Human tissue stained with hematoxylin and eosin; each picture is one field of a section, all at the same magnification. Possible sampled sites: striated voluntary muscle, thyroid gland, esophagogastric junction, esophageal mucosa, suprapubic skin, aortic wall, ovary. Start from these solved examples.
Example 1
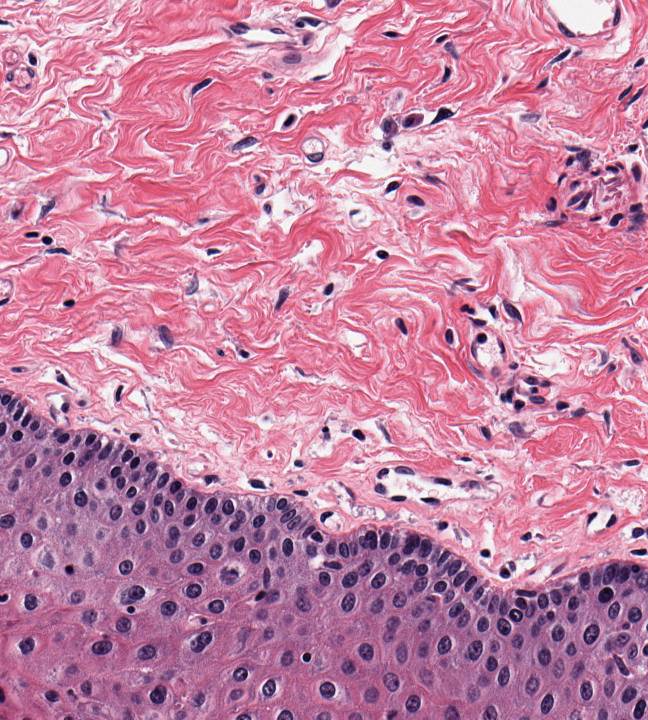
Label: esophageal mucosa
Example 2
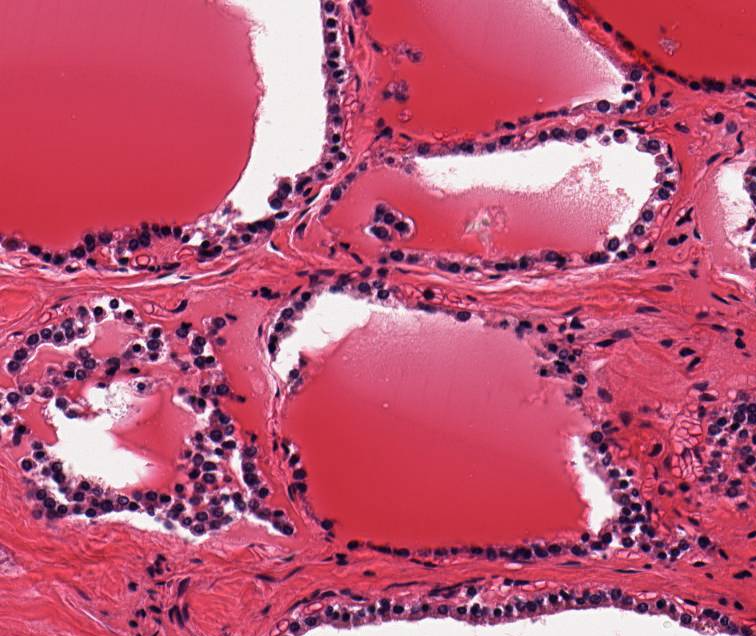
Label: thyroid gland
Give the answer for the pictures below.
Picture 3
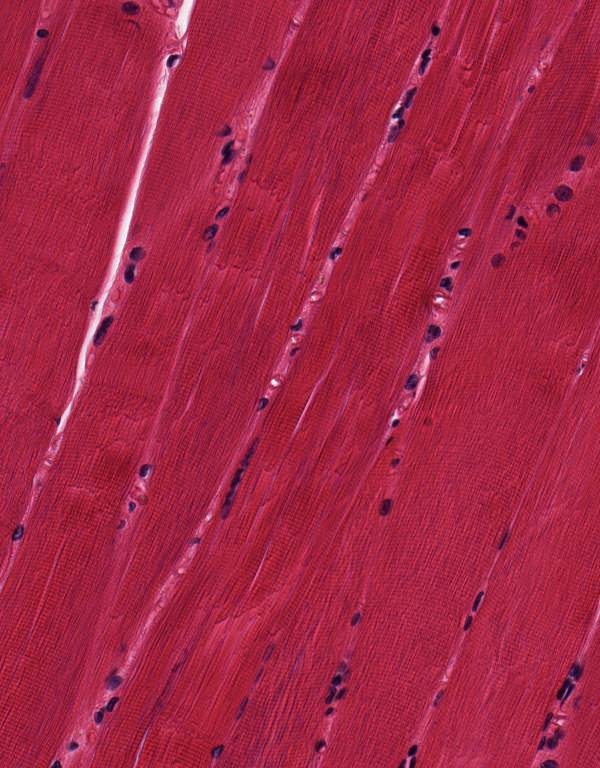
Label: striated voluntary muscle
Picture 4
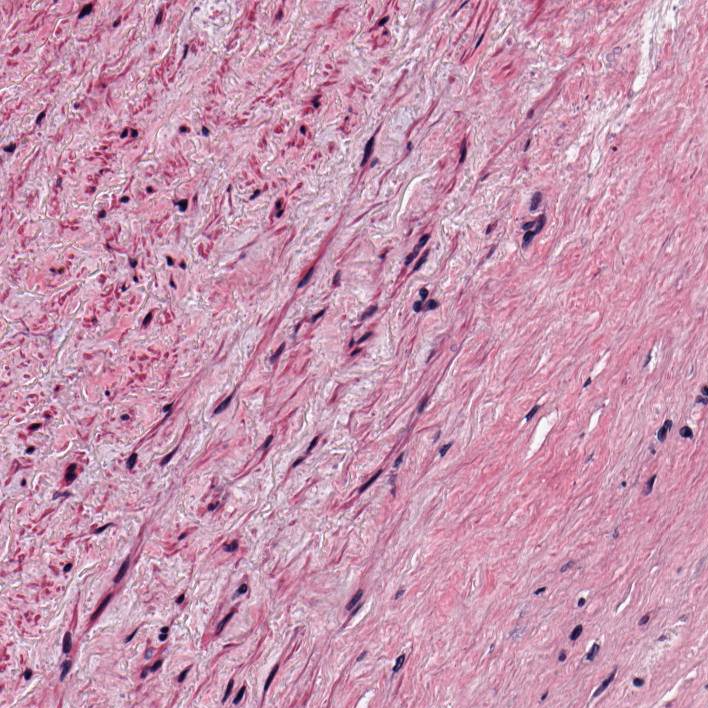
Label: aortic wall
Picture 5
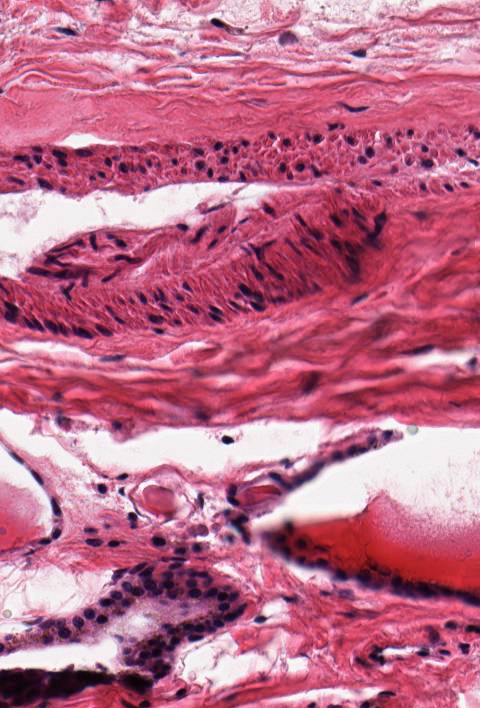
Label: thyroid gland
